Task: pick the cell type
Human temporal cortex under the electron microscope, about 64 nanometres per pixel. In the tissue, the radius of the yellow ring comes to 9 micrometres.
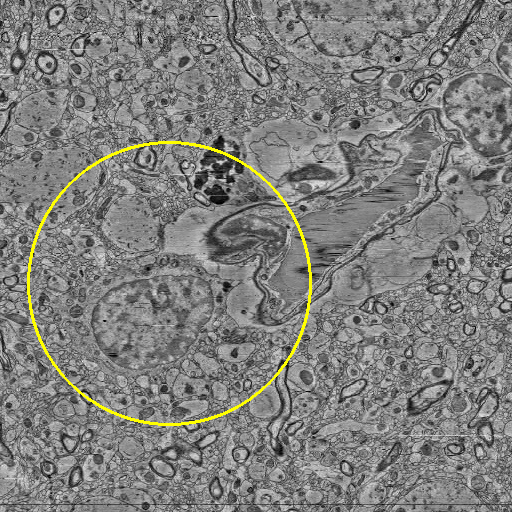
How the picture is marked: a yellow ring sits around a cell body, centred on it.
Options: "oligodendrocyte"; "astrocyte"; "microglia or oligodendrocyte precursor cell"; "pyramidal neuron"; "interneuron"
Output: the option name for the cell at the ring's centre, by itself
oligodendrocyte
